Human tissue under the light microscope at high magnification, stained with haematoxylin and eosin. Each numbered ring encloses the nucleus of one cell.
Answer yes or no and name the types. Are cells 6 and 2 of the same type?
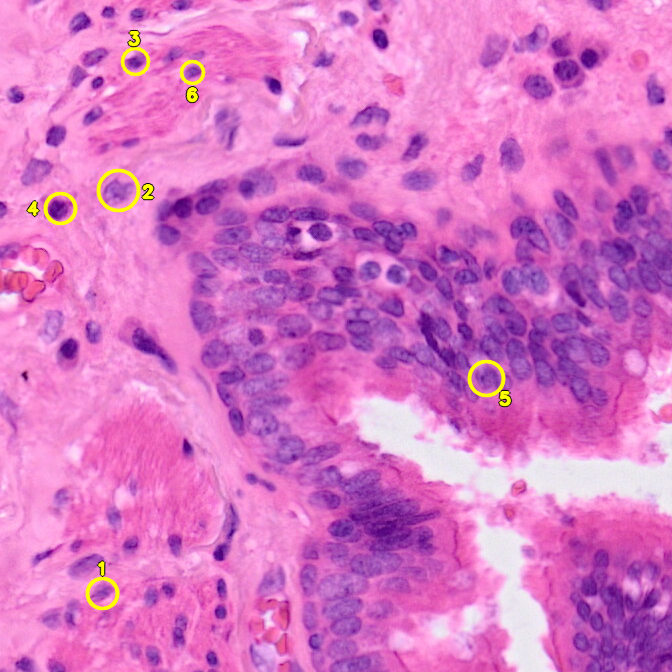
No, cell 6 is to be identified as a smooth muscle cell or pericyte and cell 2 as a fibroblast.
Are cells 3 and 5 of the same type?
No, cell 3 is categorized as a smooth muscle cell or pericyte, while cell 5 is categorized as a ciliated epithelial cell.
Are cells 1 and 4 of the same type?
No, cell 1 is a smooth muscle cell or pericyte; cell 4 is a plasma cell.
